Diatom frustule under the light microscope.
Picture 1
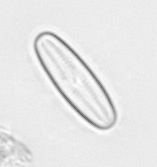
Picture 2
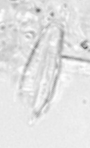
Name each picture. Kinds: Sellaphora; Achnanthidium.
1. Sellaphora
2. Achnanthidium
